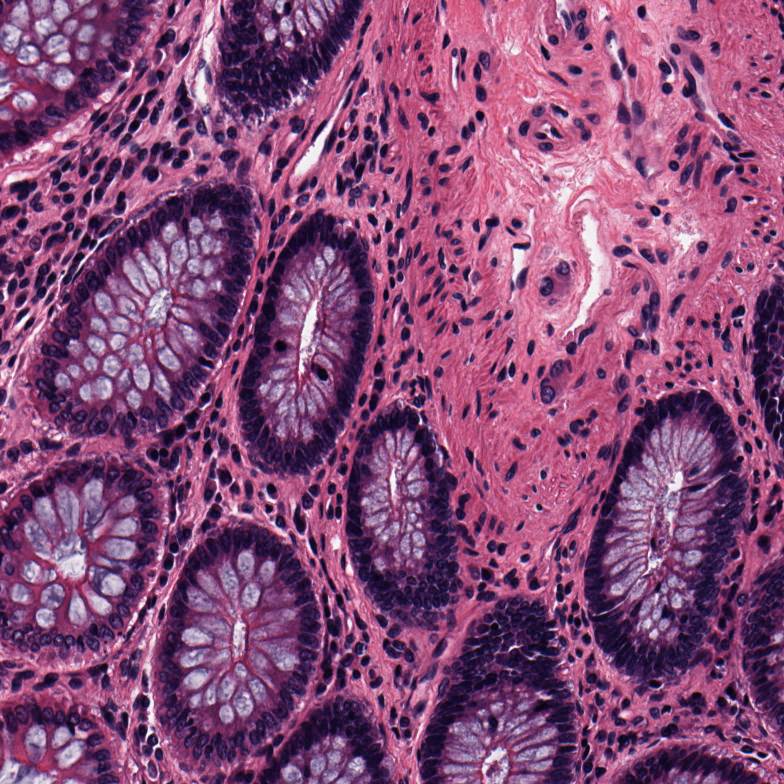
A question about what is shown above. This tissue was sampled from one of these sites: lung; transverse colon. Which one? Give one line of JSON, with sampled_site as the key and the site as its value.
{"sampled_site": "transverse colon"}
